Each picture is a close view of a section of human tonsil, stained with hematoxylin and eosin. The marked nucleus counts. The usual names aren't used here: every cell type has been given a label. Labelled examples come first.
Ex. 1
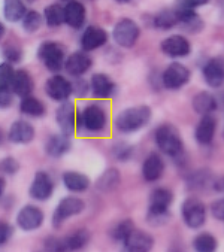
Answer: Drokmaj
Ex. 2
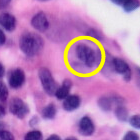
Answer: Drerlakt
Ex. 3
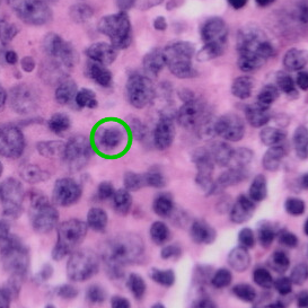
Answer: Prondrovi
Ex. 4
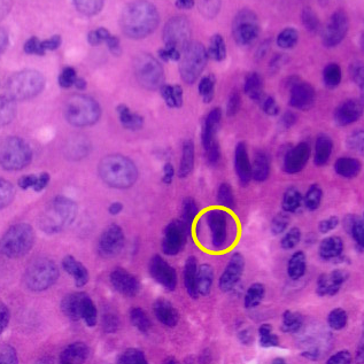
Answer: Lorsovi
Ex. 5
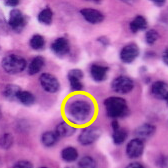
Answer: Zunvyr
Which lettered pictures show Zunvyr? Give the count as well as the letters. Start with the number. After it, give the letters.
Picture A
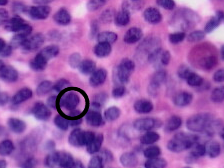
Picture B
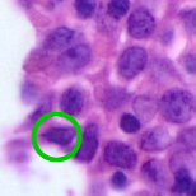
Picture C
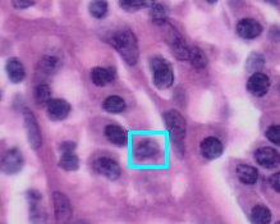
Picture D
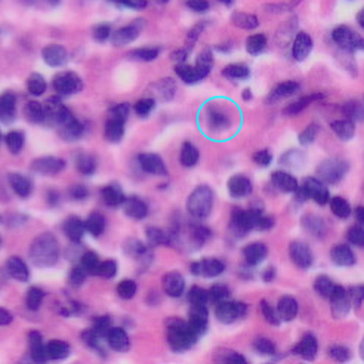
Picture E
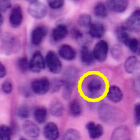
1: C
